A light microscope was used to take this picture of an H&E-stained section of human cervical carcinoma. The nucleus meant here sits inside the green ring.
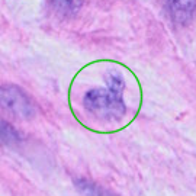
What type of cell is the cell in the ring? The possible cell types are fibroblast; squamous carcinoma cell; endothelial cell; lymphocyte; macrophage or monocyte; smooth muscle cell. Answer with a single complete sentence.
Right, so the cell in the ring is a macrophage or monocyte, to answer that.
